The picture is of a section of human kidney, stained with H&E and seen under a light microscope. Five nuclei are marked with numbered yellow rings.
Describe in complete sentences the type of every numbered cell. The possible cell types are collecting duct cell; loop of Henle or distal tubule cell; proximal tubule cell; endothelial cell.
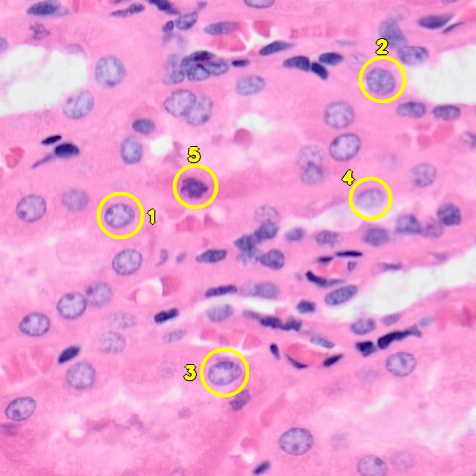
Cells 1, 3 and 5 are proximal tubule cells. Cells 2 and 4 are loop of Henle or distal tubule cells.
